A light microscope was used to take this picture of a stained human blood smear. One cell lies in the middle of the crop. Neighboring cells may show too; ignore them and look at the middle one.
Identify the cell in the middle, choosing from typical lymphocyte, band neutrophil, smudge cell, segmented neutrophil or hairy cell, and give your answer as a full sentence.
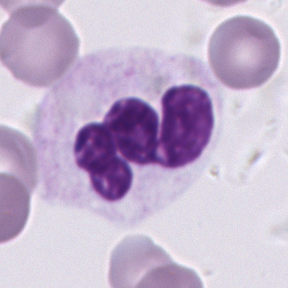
At the middle of the frame sits a segmented neutrophil.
